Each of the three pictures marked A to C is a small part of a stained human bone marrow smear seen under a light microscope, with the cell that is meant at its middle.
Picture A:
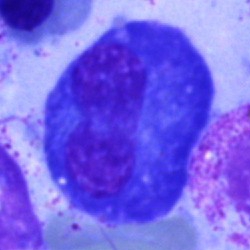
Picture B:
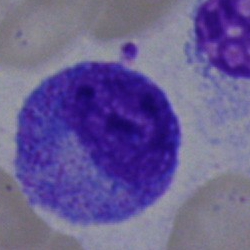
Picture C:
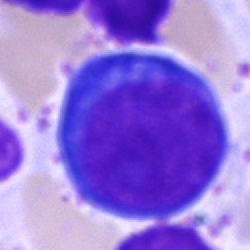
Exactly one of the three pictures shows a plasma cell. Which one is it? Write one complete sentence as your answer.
Picture A is the one that shows the plasma cell.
